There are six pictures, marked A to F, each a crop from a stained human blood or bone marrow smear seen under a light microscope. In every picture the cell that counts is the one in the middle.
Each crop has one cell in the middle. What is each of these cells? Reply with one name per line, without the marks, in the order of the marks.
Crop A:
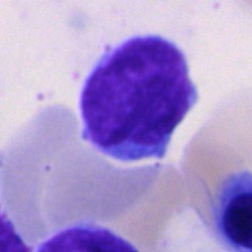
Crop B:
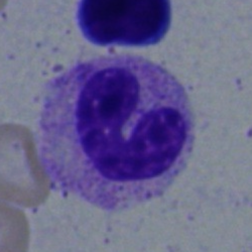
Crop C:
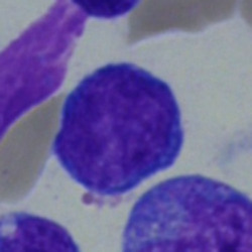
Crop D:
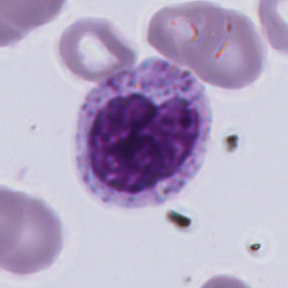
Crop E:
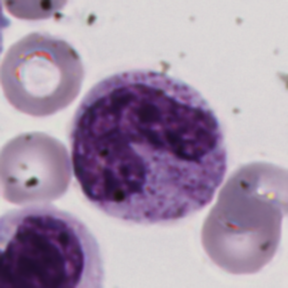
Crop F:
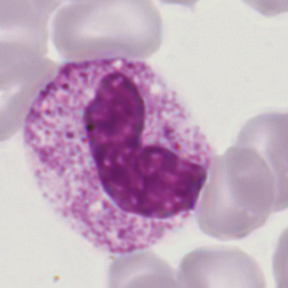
blast
band neutrophil
blast
band neutrophil
band neutrophil
band neutrophil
